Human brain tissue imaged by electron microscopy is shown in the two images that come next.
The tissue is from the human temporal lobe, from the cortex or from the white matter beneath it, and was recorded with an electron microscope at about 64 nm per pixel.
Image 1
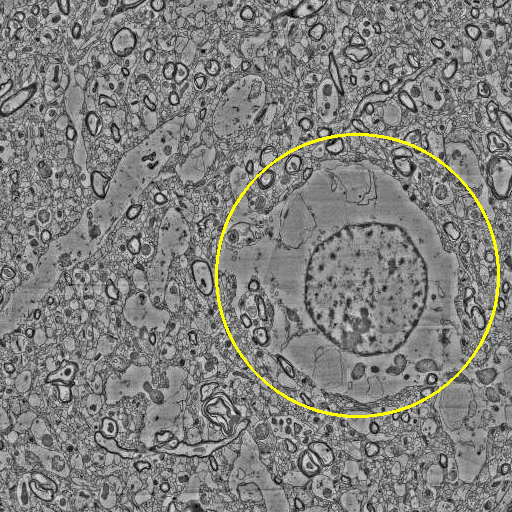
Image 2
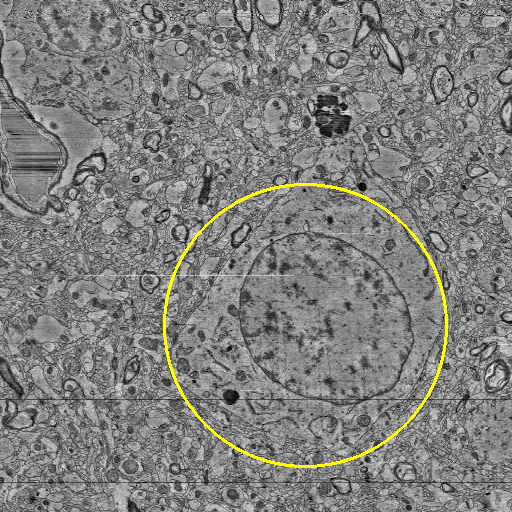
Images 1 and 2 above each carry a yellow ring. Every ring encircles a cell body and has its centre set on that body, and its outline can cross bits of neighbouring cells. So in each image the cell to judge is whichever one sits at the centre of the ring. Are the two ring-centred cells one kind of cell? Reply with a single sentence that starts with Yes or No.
No, in Image 1 and Image 2 the cells at the centres of their rings fall into two types.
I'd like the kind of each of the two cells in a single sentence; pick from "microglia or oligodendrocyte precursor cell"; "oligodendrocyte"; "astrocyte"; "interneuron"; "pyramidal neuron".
The first ring marks an astrocyte, and the second ring marks a pyramidal neuron.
